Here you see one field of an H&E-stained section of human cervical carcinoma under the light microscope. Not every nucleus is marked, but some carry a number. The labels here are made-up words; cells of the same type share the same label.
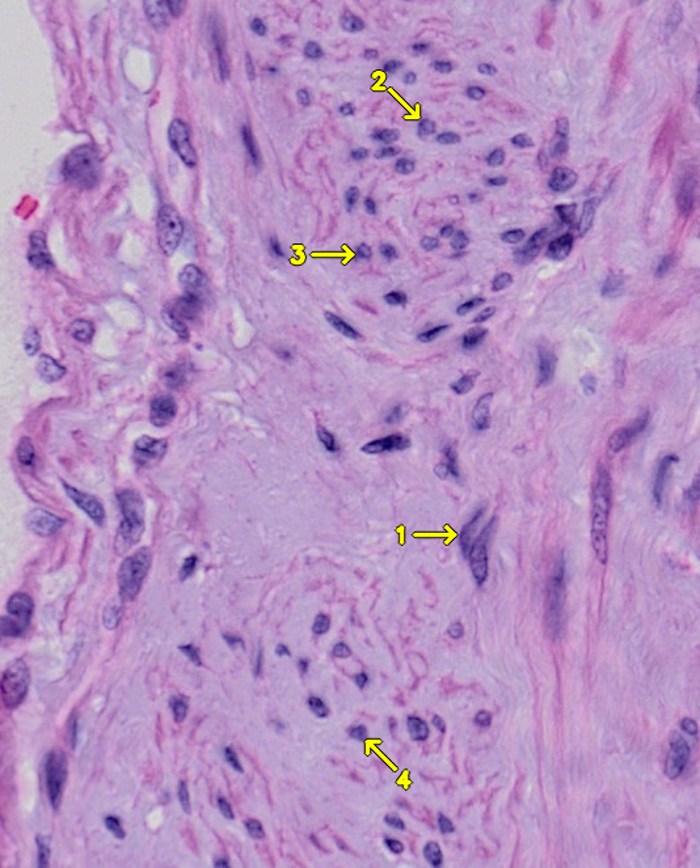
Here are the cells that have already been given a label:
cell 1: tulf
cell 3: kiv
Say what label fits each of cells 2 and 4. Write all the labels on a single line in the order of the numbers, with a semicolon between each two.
kiv; kiv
